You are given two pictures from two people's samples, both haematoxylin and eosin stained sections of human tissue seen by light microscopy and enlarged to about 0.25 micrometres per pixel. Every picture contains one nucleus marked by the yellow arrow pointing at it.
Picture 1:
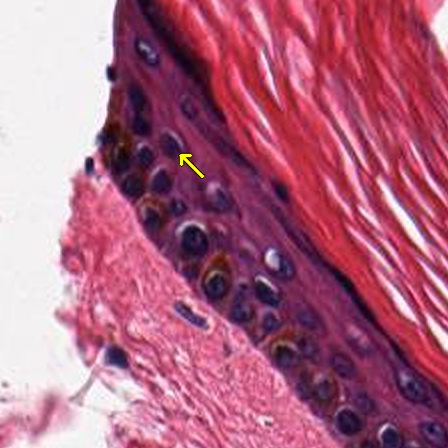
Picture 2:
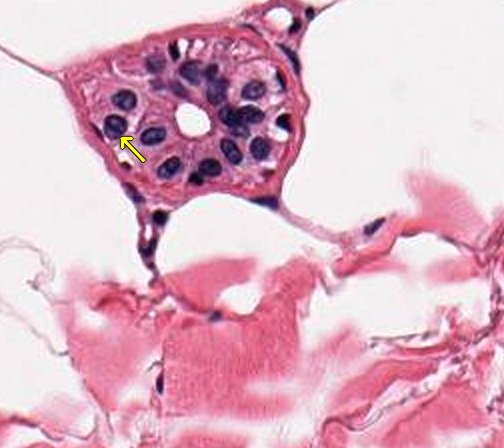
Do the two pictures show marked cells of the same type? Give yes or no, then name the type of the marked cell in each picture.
No, the first is a keratinocyte and the second a sweat gland cell.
